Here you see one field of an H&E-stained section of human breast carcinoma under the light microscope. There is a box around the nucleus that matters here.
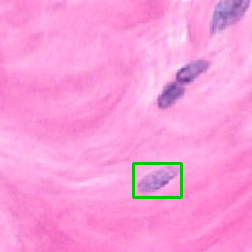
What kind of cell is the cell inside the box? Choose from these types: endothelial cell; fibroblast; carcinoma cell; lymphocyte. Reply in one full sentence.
In cellular terms, the cell inside the box is a fibroblast.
